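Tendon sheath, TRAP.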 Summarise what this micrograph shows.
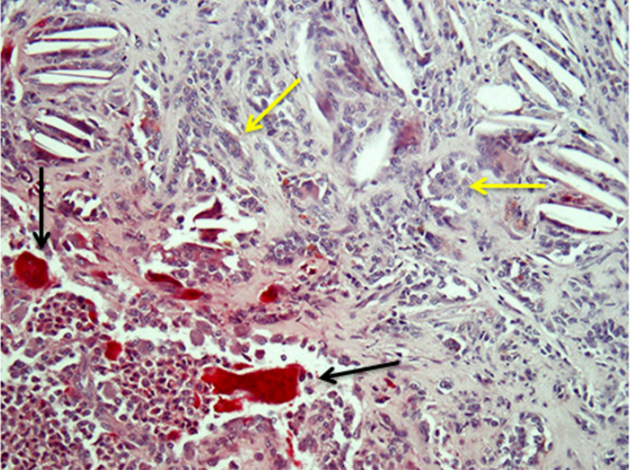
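This is tumor tissue in which large osteoclasts at the lower left are stained bright red, lying among many small round cells. In the upper right, needle-shaped empty cholesterol clefts run in bundles. Between the two areas is pale stroma with scattered mononuclear cells.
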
